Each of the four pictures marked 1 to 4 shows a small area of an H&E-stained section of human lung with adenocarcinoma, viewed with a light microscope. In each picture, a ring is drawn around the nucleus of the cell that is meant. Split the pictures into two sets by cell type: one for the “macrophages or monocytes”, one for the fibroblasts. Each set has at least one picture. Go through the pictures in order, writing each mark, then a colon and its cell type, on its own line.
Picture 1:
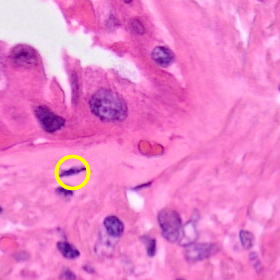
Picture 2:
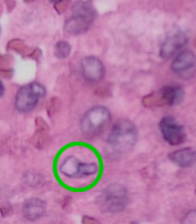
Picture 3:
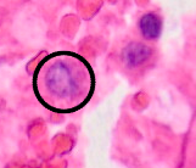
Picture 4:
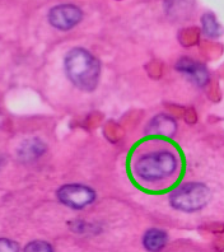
1: fibroblast
2: macrophage or monocyte
3: macrophage or monocyte
4: macrophage or monocyte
